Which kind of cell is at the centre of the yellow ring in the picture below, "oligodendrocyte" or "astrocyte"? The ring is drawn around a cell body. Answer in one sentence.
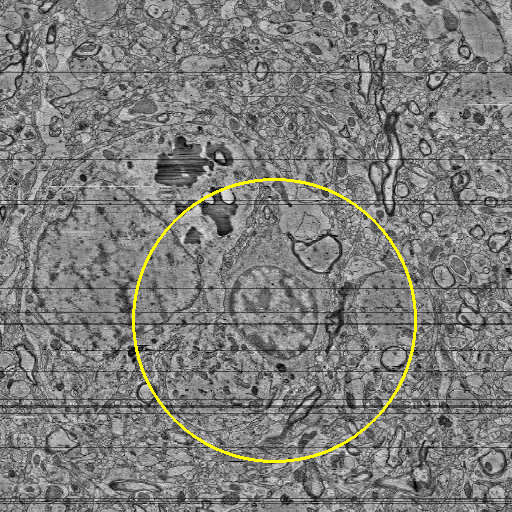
The ring's central cell is an oligodendrocyte.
